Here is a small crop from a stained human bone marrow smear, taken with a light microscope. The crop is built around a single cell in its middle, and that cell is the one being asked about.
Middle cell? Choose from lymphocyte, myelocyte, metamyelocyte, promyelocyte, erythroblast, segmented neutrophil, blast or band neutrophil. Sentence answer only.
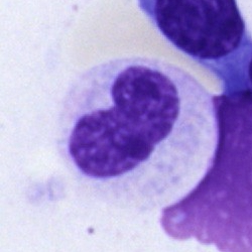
The cell featured at the centre of this crop is a metamyelocyte.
